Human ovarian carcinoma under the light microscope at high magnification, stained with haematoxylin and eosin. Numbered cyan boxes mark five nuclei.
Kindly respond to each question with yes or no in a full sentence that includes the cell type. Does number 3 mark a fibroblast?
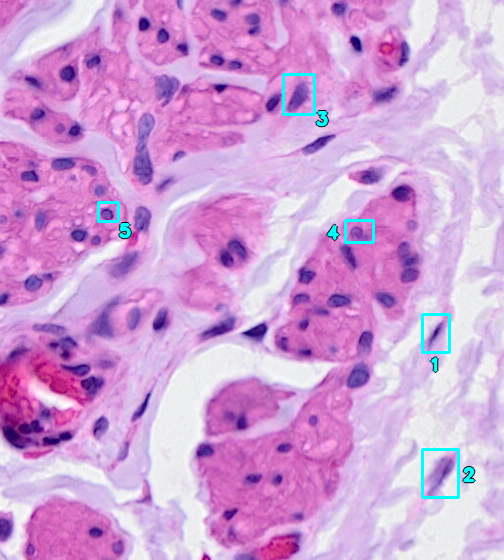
No, rather than a fibroblast, cell number 3 is a smooth muscle cell.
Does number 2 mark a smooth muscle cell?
No, cell 2 is to be read as a fibroblast, not a smooth muscle cell.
